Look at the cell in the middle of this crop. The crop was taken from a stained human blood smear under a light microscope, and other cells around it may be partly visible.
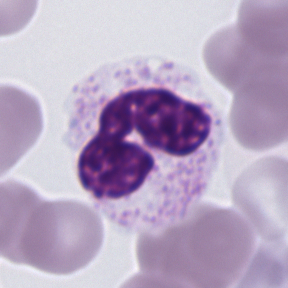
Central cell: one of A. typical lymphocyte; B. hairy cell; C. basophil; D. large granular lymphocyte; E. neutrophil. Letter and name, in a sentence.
The middle of the crop contains a neutrophil, so option E is right.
